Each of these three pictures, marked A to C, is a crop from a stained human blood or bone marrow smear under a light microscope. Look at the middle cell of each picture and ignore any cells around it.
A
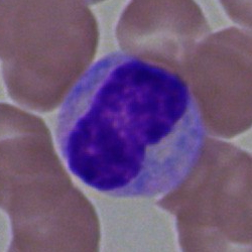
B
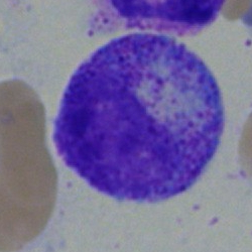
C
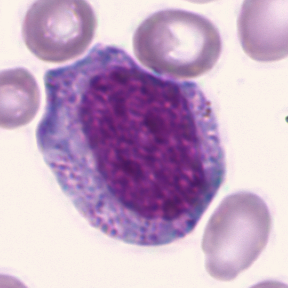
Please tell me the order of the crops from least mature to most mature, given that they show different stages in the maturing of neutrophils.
C, B, A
